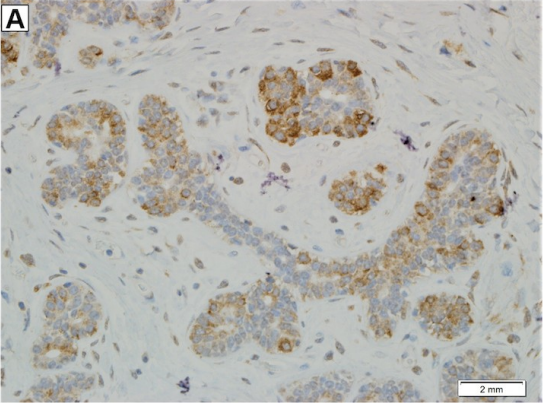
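This is breast tissue with small ducts and acini lined by epithelial cells, lying in fibrous stroma. The gland cells form rounded clusters and branching cords around small lumens. Their cytoplasm is stained brown, more strongly in some clusters than others, while their round nuclei remain blue.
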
